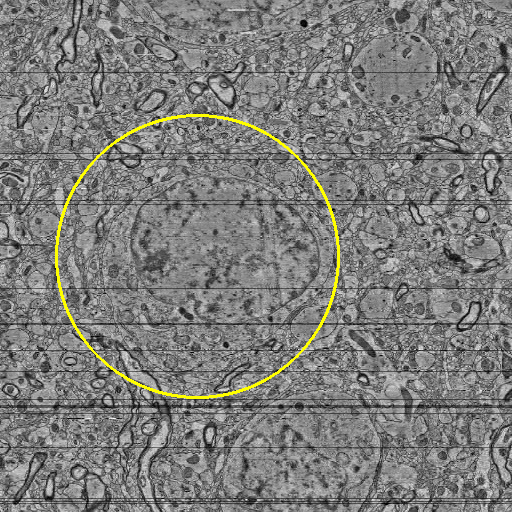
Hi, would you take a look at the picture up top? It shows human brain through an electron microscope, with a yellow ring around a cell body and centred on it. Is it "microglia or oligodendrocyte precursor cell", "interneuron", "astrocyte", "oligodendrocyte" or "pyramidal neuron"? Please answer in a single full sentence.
The best fit for the cell in the middle of the ring is an interneuron, I reckon.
